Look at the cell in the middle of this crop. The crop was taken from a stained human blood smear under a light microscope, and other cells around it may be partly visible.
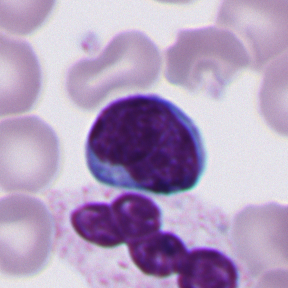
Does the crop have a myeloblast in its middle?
no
